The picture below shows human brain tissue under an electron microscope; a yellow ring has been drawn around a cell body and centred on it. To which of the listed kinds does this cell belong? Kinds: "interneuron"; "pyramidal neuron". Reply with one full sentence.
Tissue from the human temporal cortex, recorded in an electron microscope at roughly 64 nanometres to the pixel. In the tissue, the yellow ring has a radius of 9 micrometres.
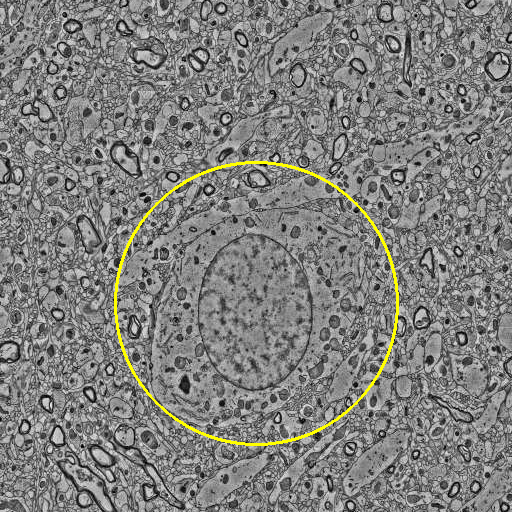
It is an interneuron that the yellow ring in the picture is centred on.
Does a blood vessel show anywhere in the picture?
No, a blood vessel is absent from this picture.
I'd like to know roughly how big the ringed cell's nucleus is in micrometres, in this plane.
In this plane, roughly 10 by 7 micrometres.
